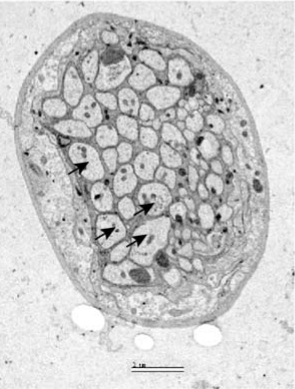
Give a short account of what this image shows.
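This is a transverse section through a peripheral nerve, an oval bundle wrapped in a thin outer sheath and packed with many round axon profiles. The axons vary in size, have pale, fairly uniform axoplasm, and are separated from one another by thin, darker glial sheets. Scattered small dark bodies lie within and between the profiles.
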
